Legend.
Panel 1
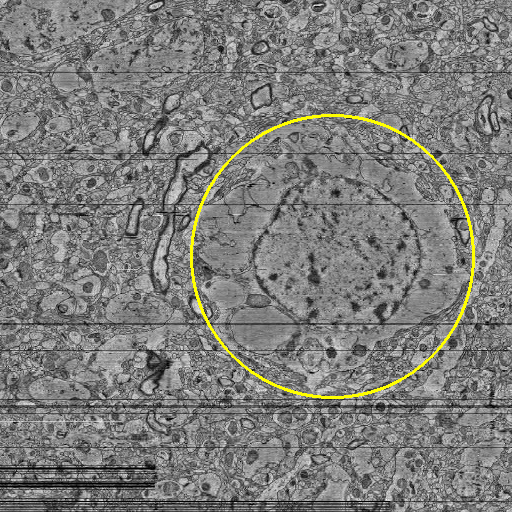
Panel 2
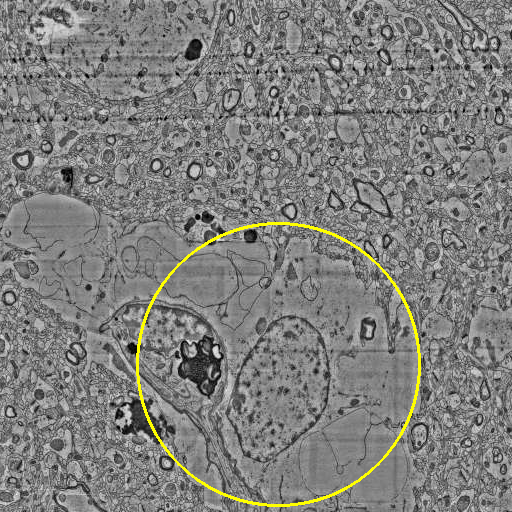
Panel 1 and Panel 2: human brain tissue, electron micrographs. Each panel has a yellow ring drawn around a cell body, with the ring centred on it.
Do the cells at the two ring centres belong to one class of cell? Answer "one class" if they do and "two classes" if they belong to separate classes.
one class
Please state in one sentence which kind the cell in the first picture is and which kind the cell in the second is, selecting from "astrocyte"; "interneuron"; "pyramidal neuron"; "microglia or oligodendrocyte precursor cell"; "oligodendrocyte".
Each cell, in the first picture and the second, is an astrocyte.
